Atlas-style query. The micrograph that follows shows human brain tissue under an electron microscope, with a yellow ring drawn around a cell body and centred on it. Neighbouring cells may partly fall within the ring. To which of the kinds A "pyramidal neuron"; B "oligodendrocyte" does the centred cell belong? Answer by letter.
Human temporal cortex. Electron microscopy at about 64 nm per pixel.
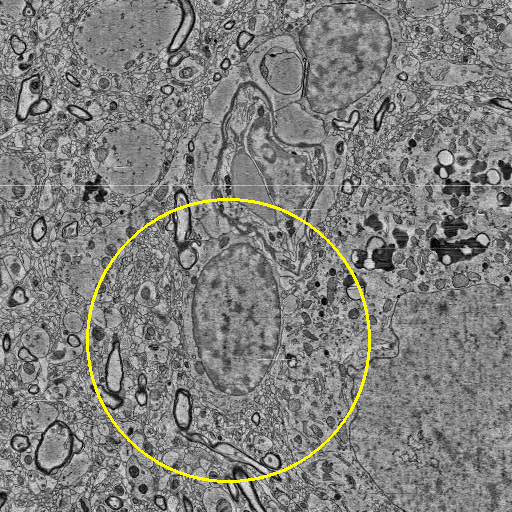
B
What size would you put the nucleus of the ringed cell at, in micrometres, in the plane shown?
The nucleus measures about 10 by 6 micrometres, so it is clearly longer than it is wide in this plane.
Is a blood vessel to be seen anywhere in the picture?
Yes, there is one.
